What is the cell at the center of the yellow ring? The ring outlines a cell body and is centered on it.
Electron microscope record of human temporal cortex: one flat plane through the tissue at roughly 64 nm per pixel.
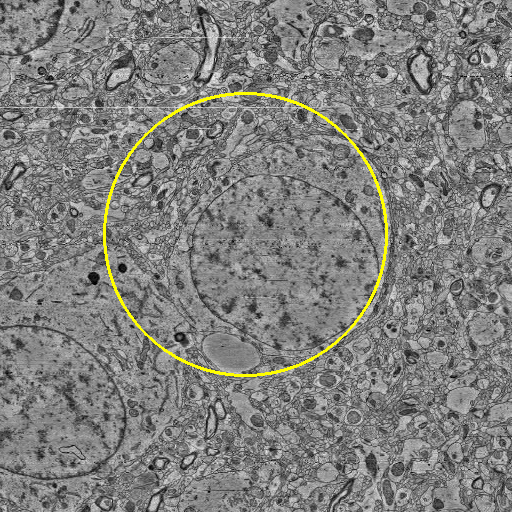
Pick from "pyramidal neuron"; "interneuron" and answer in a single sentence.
The yellow ring is centered on a pyramidal neuron.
